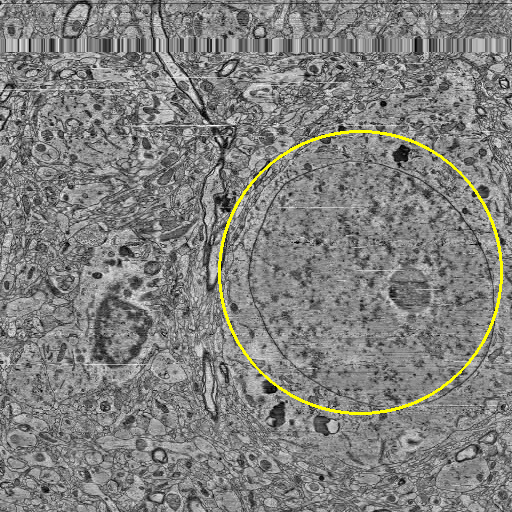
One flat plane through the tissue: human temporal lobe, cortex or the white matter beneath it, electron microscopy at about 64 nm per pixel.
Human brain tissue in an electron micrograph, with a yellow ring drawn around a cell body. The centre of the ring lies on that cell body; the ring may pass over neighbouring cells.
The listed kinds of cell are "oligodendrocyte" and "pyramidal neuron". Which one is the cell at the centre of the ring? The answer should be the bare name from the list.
pyramidal neuron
